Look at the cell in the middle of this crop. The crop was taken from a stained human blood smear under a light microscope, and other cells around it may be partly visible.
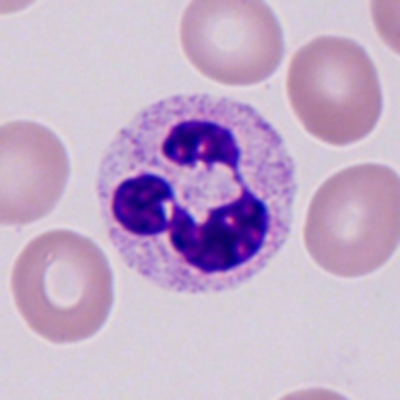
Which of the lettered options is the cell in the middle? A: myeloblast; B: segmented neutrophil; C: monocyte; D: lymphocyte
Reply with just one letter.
B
